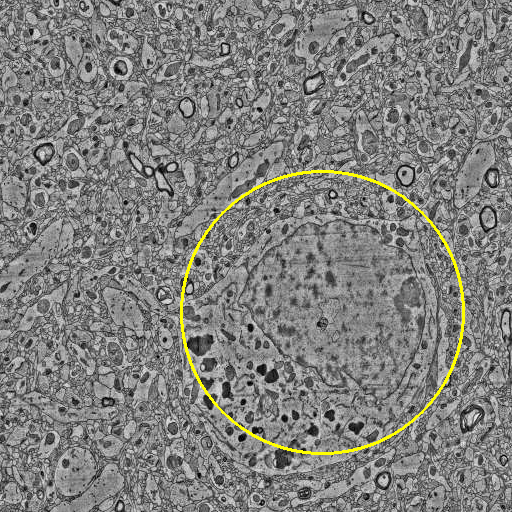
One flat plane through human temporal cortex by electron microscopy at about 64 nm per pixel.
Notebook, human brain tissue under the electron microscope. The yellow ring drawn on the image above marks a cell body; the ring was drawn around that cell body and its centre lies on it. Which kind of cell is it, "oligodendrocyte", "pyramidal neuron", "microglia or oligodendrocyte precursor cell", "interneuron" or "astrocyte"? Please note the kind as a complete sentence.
The marked cell body is that of an interneuron.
